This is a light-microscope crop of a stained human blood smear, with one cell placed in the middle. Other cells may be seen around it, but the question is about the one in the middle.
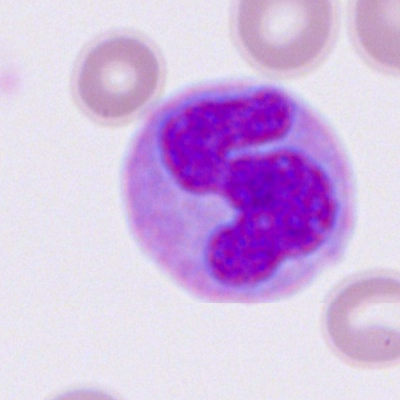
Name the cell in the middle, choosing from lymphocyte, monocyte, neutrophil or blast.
monocyte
